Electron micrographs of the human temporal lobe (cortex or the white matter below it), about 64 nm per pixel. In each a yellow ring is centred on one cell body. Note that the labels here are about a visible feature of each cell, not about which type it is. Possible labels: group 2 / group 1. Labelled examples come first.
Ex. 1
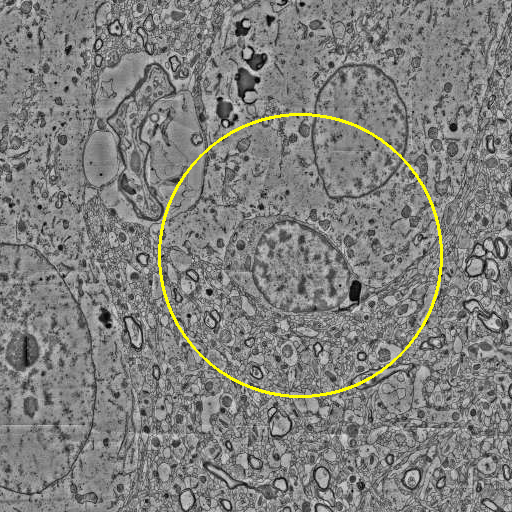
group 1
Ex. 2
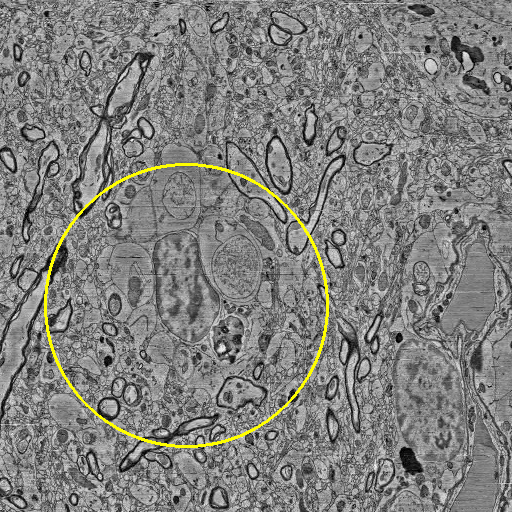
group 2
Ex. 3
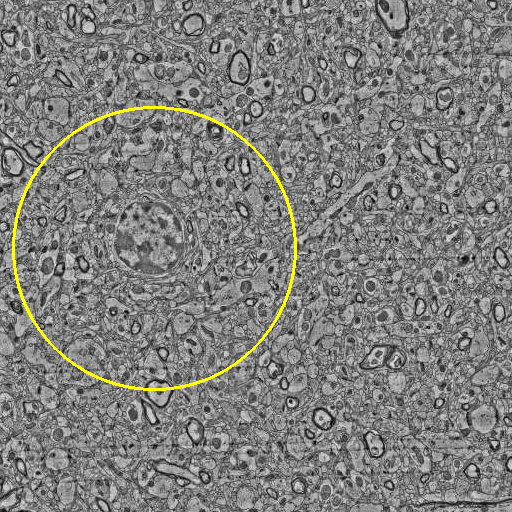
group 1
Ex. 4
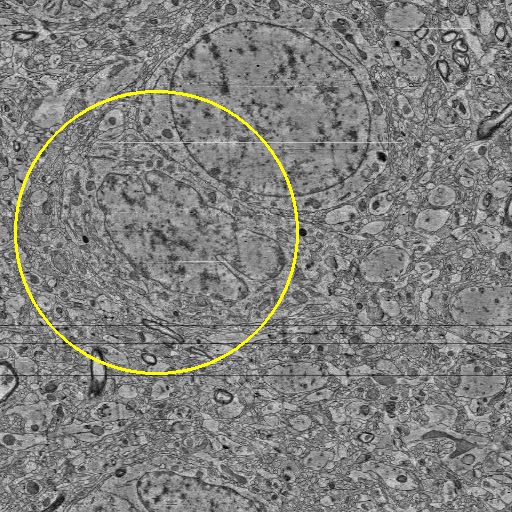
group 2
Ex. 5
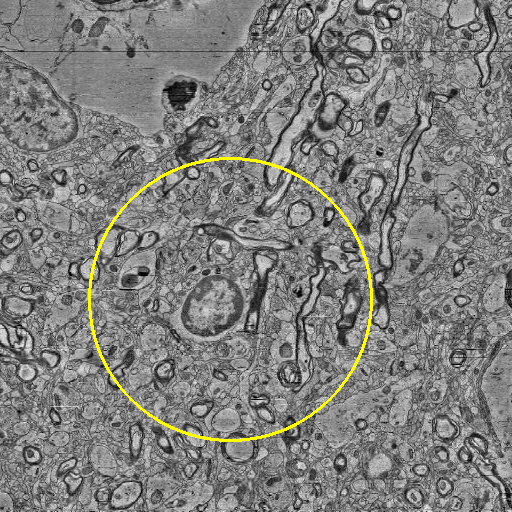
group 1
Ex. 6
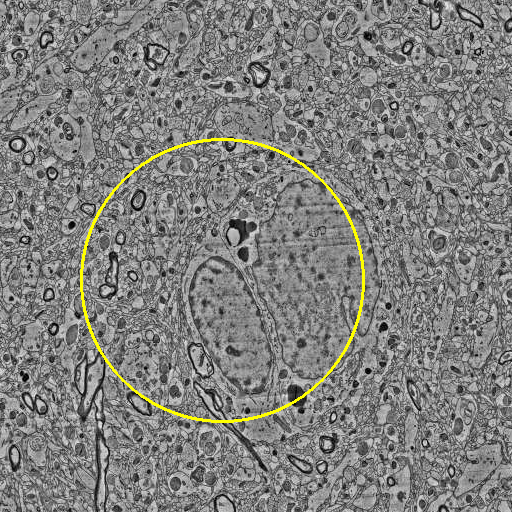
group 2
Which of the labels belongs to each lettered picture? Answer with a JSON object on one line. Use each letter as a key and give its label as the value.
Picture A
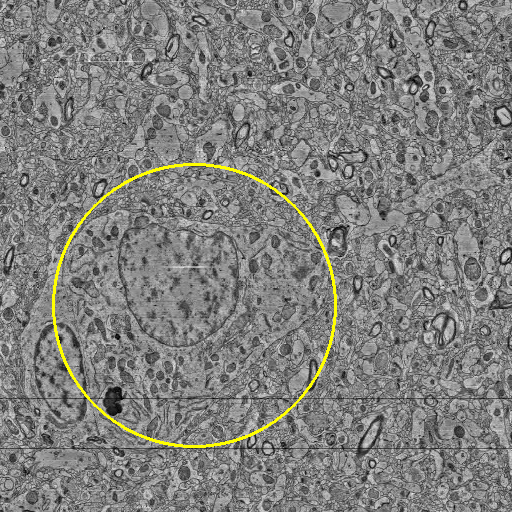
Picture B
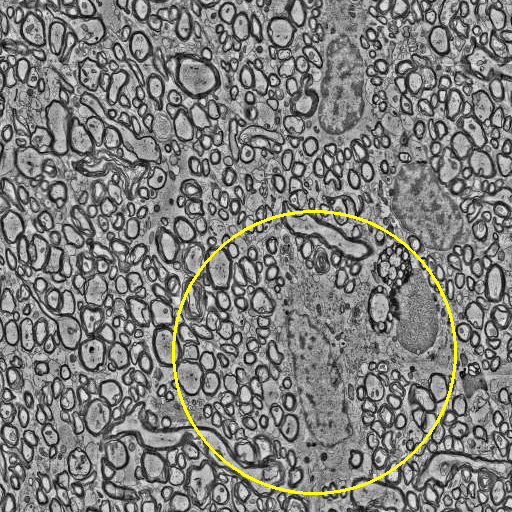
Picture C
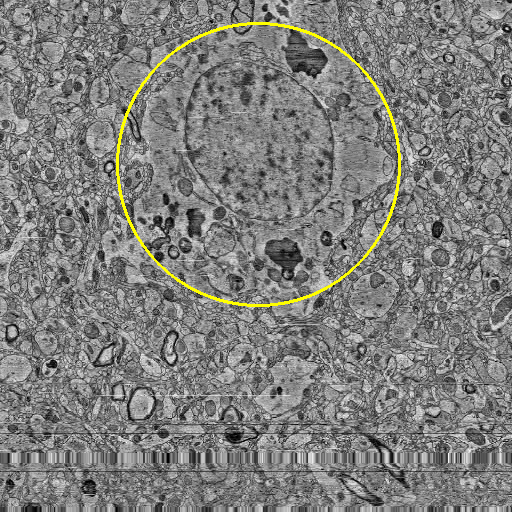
{"A": "group 1", "B": "group 2", "C": "group 1"}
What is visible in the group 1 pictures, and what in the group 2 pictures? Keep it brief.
group 1: round or nearly round nuclei; group 2: clearly elongated nuclei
